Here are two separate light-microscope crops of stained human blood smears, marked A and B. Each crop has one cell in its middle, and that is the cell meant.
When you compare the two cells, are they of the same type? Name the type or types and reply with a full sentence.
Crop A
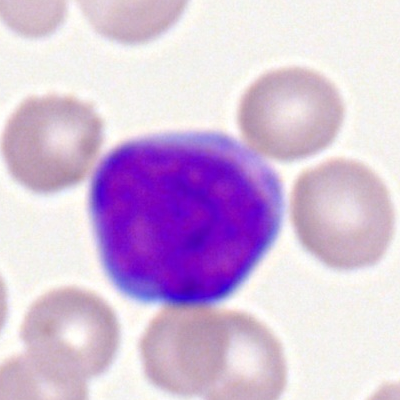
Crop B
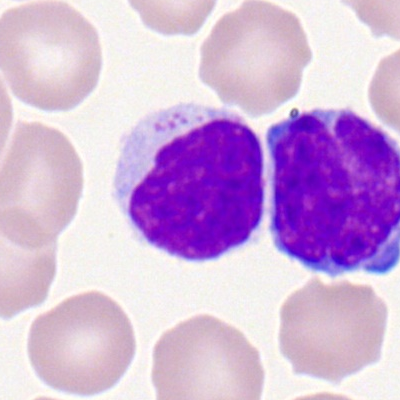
No, crop A is where a myeloblast is, and crop B is where a lymphocyte is.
